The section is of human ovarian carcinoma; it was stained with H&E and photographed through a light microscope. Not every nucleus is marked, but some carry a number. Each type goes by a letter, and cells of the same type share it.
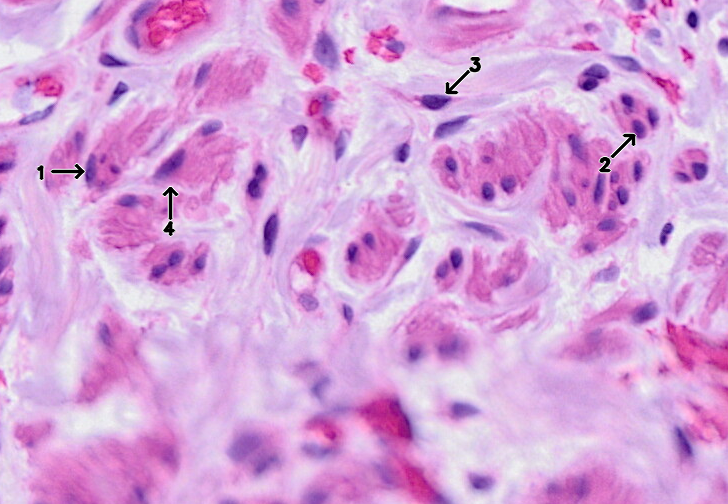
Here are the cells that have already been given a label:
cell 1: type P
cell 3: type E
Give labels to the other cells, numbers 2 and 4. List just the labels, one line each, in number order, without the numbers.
type P
type P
